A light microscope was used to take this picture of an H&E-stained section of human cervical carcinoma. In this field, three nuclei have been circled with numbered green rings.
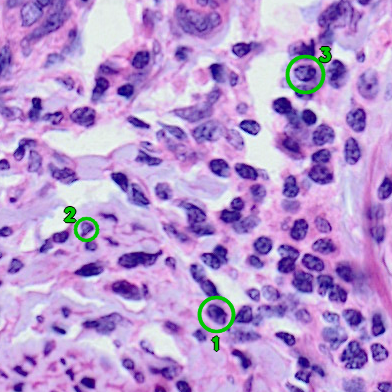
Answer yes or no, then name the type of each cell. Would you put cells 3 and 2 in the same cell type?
No, cell 2 is a fibroblast, and cell 3 is a lymphocyte.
